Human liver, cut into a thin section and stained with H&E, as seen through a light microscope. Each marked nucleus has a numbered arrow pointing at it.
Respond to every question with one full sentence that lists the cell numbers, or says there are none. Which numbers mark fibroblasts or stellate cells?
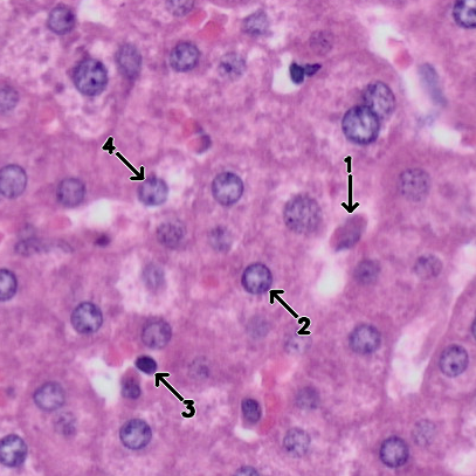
Any fibroblasts or stellate cells present in the section are not among the numbered cells.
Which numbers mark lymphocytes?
Of all the cells bearing numbers, cell 3 is the only one that is a lymphocyte.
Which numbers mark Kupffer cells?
Exactly one of the numbered cells is a Kupffer cell, namely cell 1.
